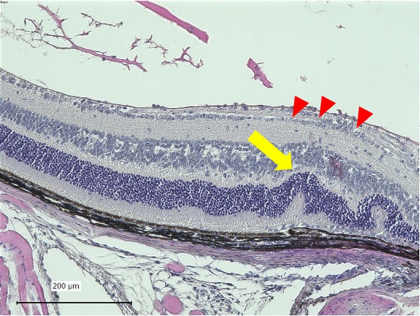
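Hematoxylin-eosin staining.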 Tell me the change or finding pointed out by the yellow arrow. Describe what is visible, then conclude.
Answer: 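The dark-blue outer nuclear band buckles and bends into a fold where the arrow points. The layers are locally distorted, not running parallel. On this evidence: retinal fold.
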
